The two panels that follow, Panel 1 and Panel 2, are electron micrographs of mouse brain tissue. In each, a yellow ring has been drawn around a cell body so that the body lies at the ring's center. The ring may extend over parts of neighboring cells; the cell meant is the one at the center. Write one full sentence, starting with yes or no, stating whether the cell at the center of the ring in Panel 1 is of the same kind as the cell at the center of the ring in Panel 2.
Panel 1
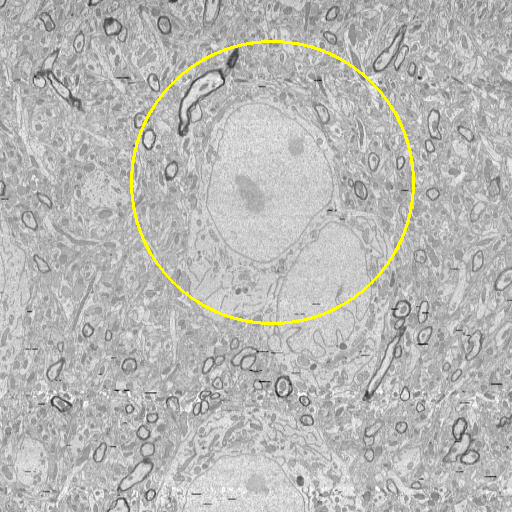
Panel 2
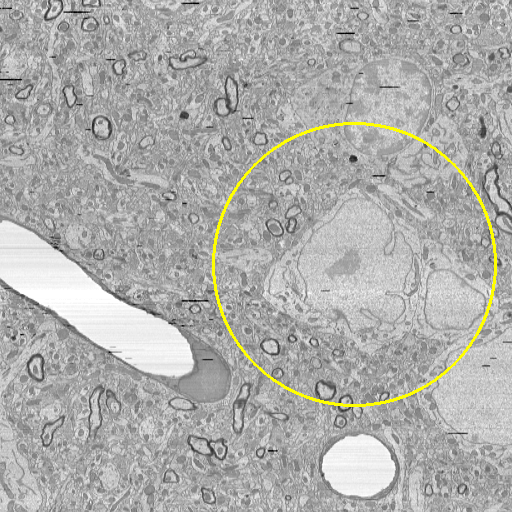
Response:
No, the cells in the two panels are of two kinds.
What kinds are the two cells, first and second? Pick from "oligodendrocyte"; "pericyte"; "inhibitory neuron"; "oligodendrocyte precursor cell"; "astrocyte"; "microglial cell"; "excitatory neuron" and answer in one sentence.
The second picture holds an inhibitory neuron in its ring, and the first holds an excitatory neuron.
